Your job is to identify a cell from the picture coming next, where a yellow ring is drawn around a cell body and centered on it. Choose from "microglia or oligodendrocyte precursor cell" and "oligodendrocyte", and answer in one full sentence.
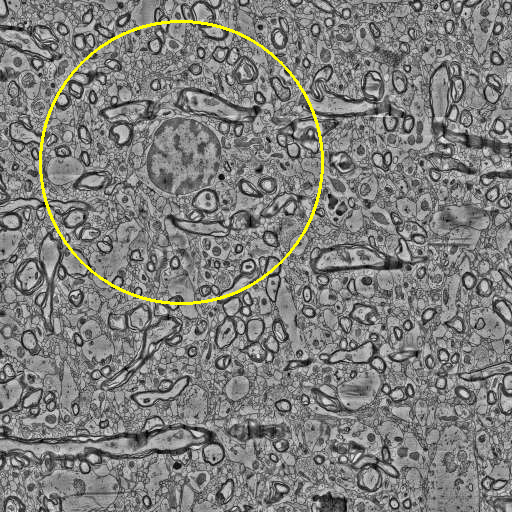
Centered in the yellow ring of the picture is the body of a microglial cell or oligodendrocyte precursor cell.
